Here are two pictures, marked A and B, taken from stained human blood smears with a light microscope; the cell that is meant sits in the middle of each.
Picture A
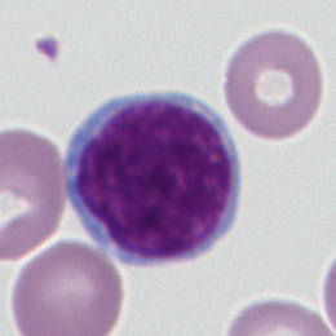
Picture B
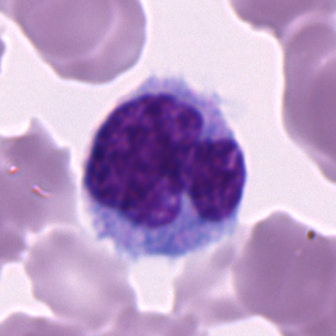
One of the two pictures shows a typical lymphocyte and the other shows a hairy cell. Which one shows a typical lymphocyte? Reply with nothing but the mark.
A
